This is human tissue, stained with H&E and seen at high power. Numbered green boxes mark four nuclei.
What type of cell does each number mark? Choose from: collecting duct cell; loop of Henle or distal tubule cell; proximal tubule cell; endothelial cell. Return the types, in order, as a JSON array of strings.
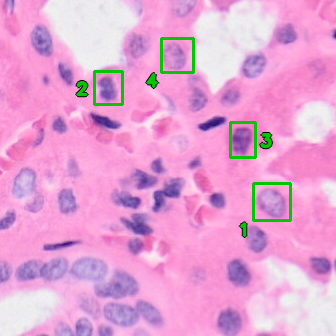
["proximal tubule cell", "loop of Henle or distal tubule cell", "proximal tubule cell", "loop of Henle or distal tubule cell"]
